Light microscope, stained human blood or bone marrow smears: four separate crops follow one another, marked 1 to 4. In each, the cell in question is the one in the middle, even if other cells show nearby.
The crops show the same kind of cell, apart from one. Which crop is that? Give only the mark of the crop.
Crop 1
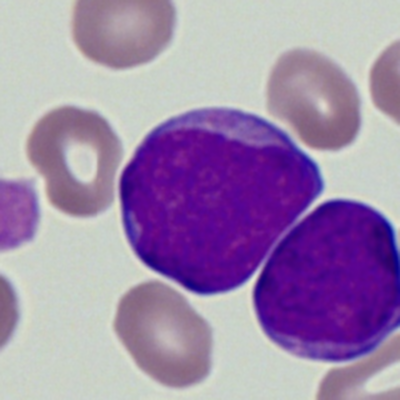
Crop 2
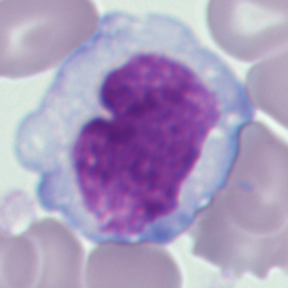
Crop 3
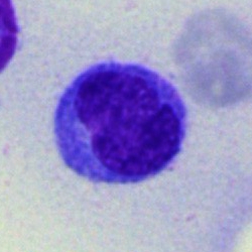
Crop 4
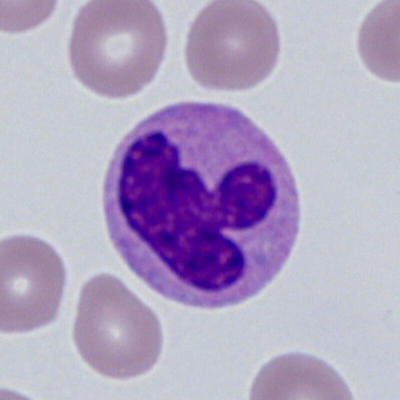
1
